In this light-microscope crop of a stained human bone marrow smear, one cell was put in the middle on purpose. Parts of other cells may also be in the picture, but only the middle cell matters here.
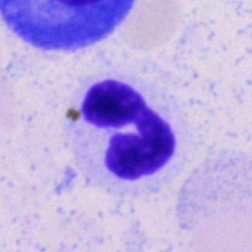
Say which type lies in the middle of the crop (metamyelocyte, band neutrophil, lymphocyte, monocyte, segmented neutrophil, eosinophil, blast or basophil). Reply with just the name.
segmented neutrophil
